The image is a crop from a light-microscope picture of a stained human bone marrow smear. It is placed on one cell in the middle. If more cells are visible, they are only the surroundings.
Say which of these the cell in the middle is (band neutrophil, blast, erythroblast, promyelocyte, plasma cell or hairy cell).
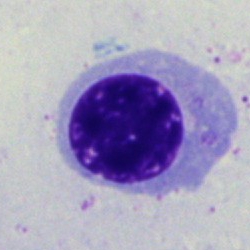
erythroblast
